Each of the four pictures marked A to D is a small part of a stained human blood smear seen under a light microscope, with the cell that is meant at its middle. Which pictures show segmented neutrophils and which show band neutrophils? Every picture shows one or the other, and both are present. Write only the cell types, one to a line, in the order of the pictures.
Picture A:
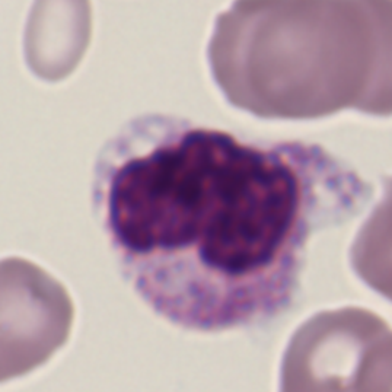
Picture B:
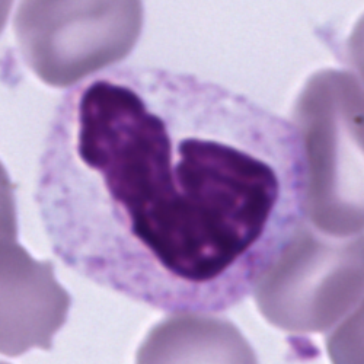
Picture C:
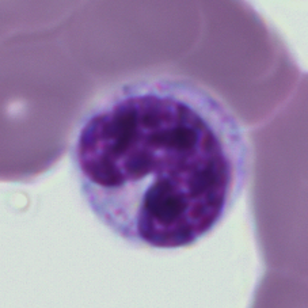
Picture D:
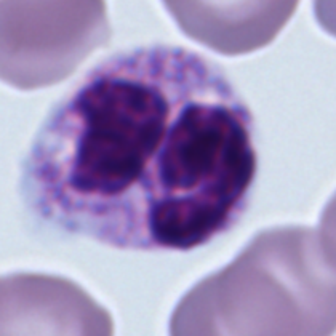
segmented neutrophil
band neutrophil
band neutrophil
segmented neutrophil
